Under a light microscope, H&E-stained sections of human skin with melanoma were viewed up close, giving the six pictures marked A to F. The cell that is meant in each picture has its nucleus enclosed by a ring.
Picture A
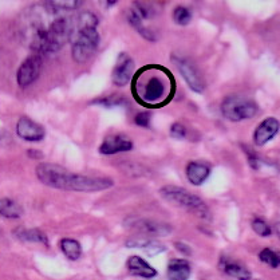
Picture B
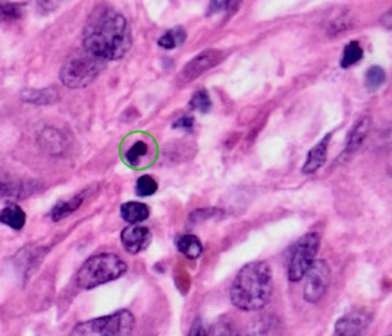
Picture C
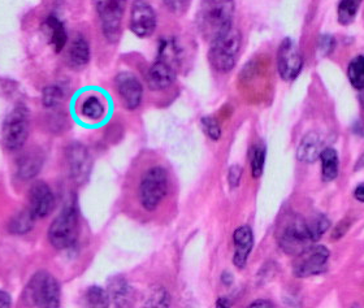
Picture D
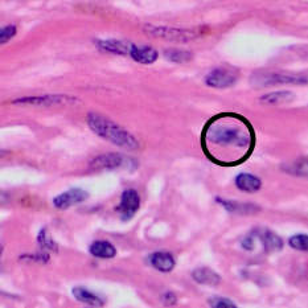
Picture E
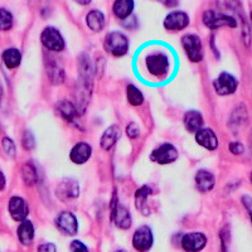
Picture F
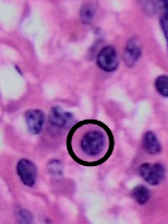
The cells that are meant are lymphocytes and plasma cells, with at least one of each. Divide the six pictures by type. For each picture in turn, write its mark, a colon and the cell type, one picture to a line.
A: plasma cell
B: lymphocyte
C: lymphocyte
D: lymphocyte
E: lymphocyte
F: plasma cell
